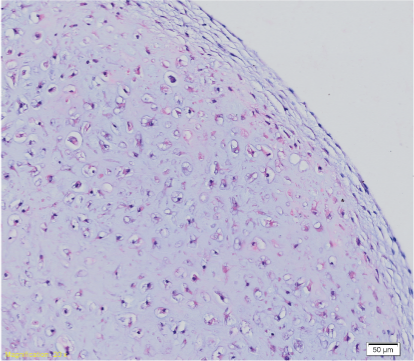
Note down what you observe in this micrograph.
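This is the edge of a cartilage-like cell pellet in which rounded cells of chondrocytic form lie scattered in abundant pale bluish-pink extracellular matrix. Many cells sit in clear spaces resembling lacunae, with dark purple nuclei. At the surface a thin band of flattened, elongated cells lines the rounded border.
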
